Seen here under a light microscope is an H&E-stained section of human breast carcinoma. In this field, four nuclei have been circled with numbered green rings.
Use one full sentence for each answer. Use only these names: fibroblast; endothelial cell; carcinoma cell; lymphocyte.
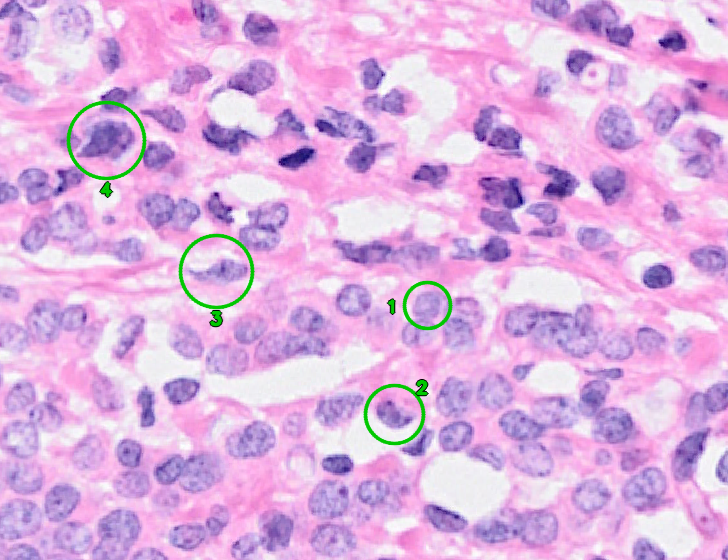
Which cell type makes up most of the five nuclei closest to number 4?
Carcinoma cells make up most of the five nuclei closest to number 4.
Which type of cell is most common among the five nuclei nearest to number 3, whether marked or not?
Around number 3, most of the five nearest nuclei are those of carcinoma cells.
